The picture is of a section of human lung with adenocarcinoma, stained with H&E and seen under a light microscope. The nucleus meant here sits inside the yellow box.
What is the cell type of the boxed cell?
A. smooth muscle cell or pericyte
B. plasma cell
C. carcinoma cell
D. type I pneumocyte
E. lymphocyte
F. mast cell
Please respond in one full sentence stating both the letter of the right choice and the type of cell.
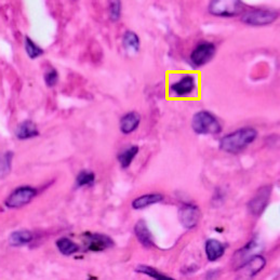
As stated in option B, the boxed cell is a plasma cell.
